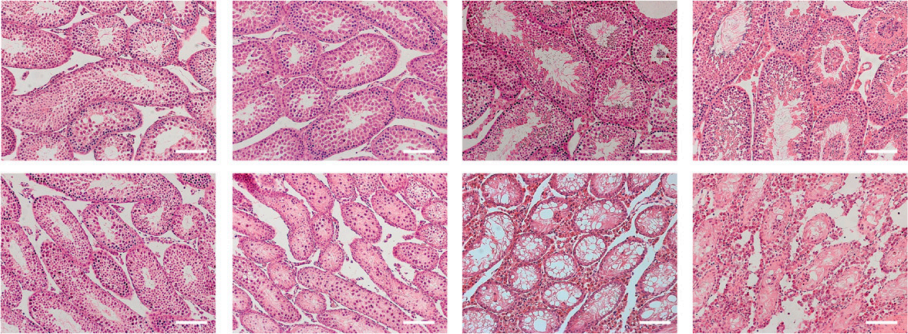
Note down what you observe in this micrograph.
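Testis tissue in eight fields set in two rows, showing seminiferous tubules cut in cross and oblique section, separated by narrow interstitial spaces. In many fields the tubules are lined by several layers of cells with round, dark purple nuclei, and some lumens hold pale pink material. In several fields of the lower row the tubules look different: their epithelium is thinner, with fewer cell layers, and the tubules hold clear vacuoles or pale, loosely arranged contents in place of a dense, layered epithelium. Pink interstitial tissue and scattered nuclei lie between the tubules throughout.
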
